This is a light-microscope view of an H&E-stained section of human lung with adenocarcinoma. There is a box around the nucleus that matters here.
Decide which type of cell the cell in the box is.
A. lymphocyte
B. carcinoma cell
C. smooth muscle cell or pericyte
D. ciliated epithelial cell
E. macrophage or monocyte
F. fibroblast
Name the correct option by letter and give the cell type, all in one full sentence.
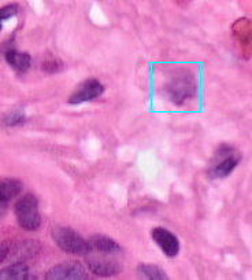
In agreement with option F, the cell in the box is a fibroblast.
